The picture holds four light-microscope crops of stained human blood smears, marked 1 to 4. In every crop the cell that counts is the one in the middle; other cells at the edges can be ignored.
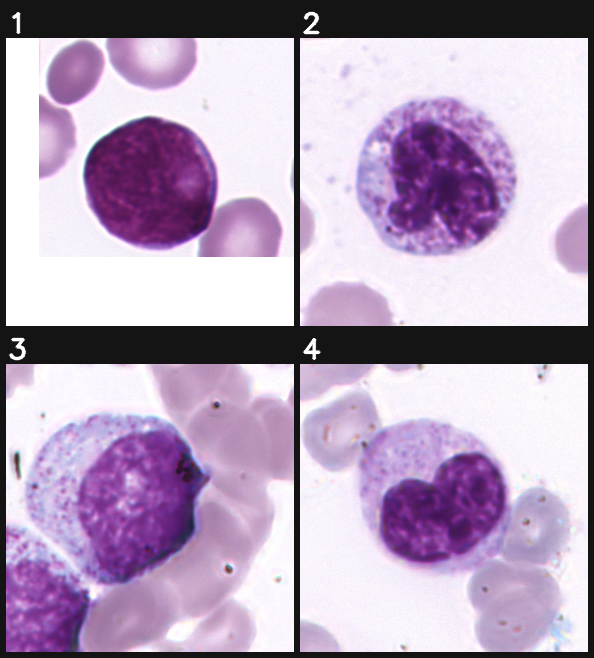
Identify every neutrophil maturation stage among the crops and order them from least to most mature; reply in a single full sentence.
In terms of maturity, from least to most, the order is crop 1 (a blast), crop 3 (a myelocyte), crop 4 (a metamyelocyte) and crop 2 (a band neutrophil).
